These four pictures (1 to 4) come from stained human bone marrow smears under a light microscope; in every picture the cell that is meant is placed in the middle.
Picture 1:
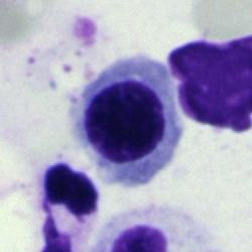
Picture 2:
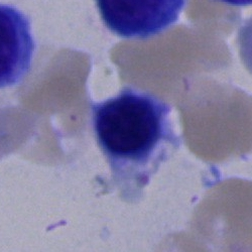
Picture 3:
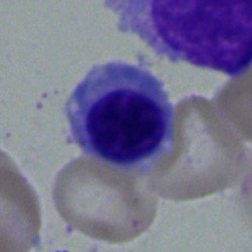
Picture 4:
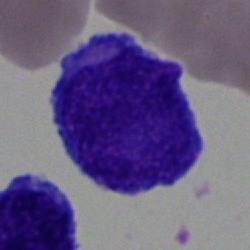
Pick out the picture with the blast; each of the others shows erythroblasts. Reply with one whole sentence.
The cell in picture 4 is the blast.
